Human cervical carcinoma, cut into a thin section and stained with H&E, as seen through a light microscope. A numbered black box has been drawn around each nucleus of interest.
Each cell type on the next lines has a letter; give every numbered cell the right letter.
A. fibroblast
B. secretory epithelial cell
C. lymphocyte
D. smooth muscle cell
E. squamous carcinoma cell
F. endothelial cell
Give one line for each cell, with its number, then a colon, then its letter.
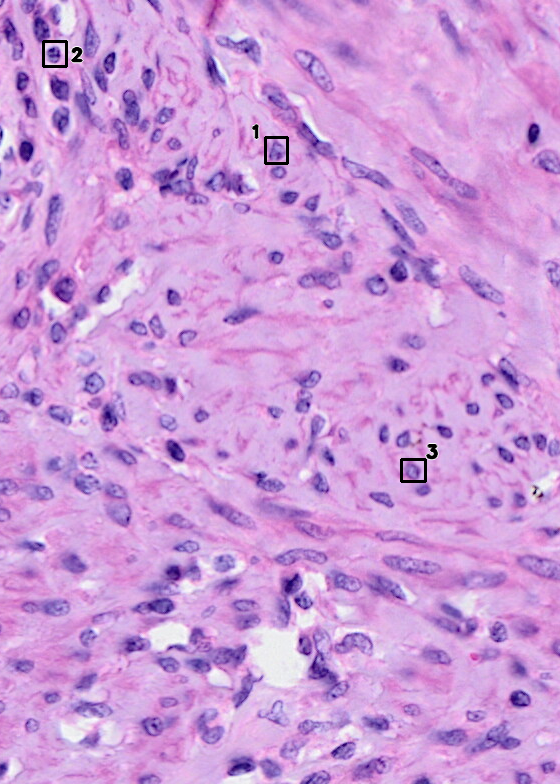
1: D
2: C
3: D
